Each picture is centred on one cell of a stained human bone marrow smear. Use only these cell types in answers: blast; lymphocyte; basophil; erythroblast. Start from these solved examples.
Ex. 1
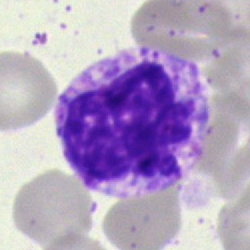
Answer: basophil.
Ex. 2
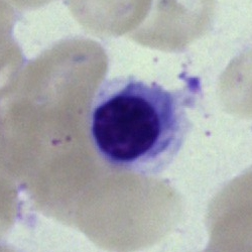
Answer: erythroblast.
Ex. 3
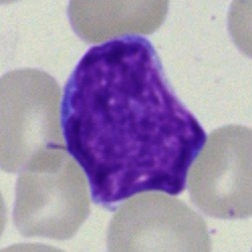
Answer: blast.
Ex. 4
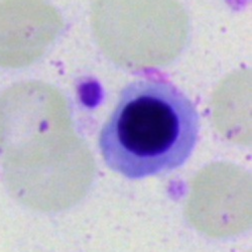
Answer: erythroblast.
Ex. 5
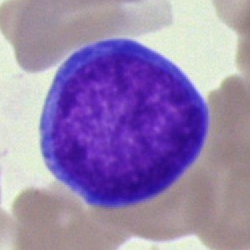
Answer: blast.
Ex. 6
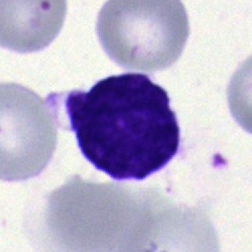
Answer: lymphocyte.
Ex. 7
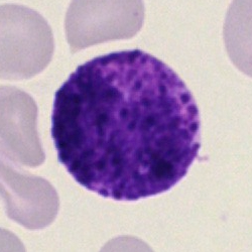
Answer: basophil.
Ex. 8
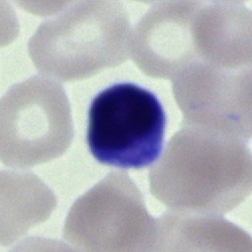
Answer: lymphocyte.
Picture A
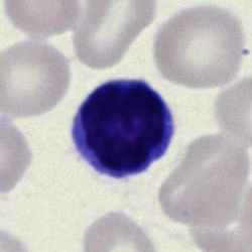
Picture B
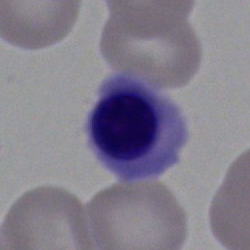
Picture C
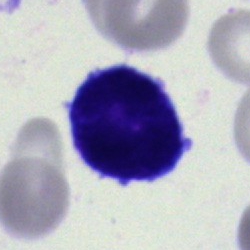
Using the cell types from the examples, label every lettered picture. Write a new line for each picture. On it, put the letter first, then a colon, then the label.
A: lymphocyte.
B: erythroblast.
C: blast.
